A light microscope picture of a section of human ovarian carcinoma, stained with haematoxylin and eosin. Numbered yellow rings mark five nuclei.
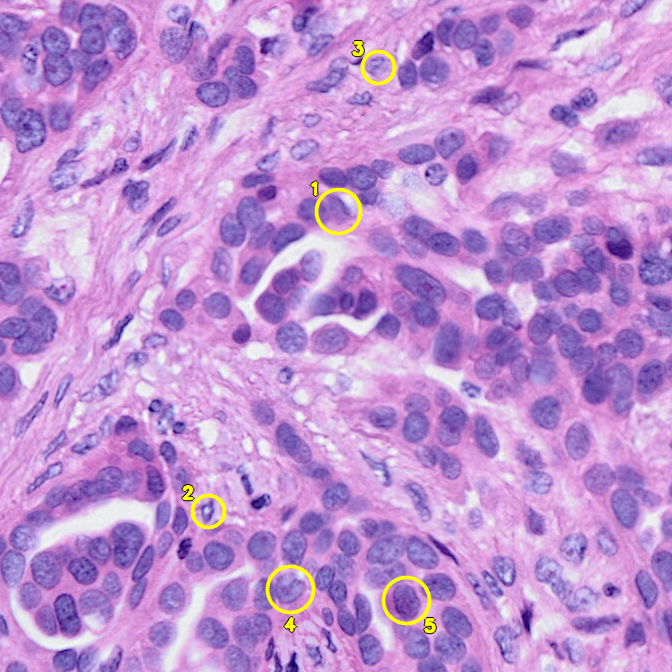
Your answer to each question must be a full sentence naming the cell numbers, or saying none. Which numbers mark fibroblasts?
Cells 2 and 3 in the section are typed as fibroblasts.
